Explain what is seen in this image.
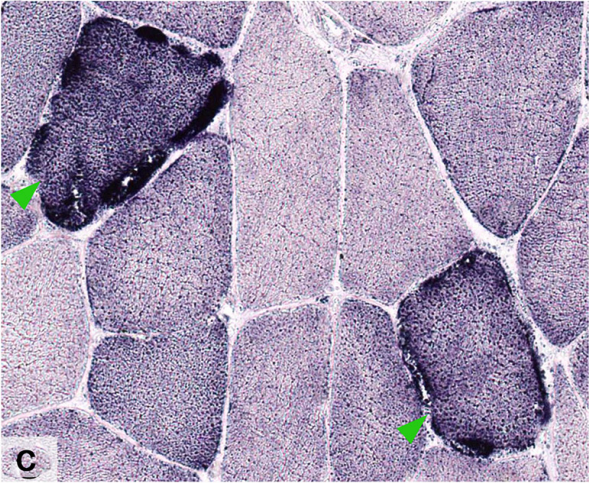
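Skeletal muscle fibres in cross-section, polygonal and closely packed with thin pale spaces between them, most stained a light blue-purple with fine granular texture. Two fibres stain much darker blue-purple throughout and carry dense, clumped dark deposits along their edges, beneath the fibre surface.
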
